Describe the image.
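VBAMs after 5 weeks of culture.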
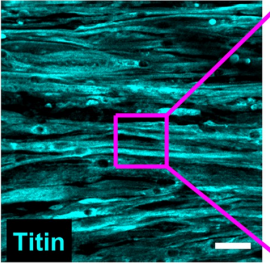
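Numerous long, thin cyan fibers run roughly parallel from left to right across the whole field, with narrow dark gaps between neighbouring fibers. Along the fibers lie small elongated dark oval spaces consistent with nuclei, oriented with the fiber axis. Fiber brightness varies, some fibers appearing broad and bright, others faint. Scattered small bright rounded bodies lie between fibers. No rounded, randomly oriented cell clusters dominate the field.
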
